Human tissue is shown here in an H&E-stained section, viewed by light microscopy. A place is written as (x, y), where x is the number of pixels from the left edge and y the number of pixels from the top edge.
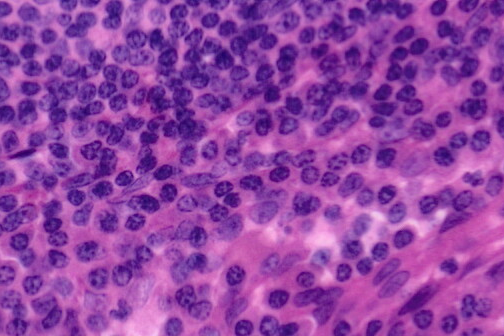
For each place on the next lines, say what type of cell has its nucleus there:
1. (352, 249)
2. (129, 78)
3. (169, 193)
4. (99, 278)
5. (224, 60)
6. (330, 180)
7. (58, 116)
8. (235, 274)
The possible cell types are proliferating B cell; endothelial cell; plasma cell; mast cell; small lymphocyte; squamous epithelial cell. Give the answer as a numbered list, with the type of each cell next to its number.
1. plasma cell
2. small lymphocyte
3. plasma cell
4. plasma cell
5. small lymphocyte
6. plasma cell
7. small lymphocyte
8. plasma cell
